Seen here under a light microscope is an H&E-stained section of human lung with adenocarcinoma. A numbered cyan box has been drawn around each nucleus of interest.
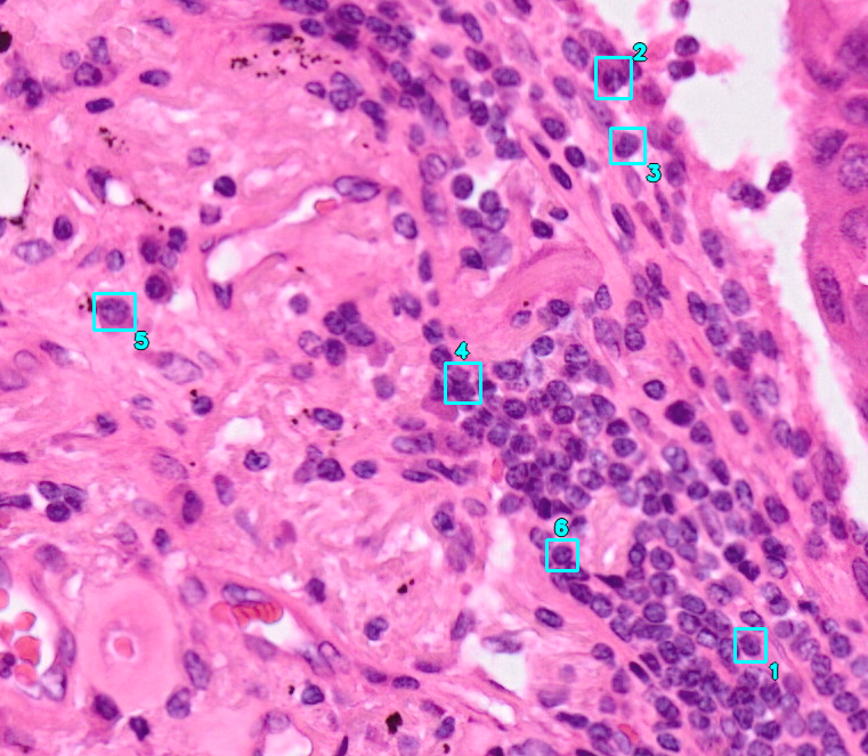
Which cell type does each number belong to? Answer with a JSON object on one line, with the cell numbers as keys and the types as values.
{"1": "lymphocyte", "2": "plasma cell", "3": "lymphocyte", "4": "lymphocyte", "5": "plasma cell", "6": "lymphocyte"}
